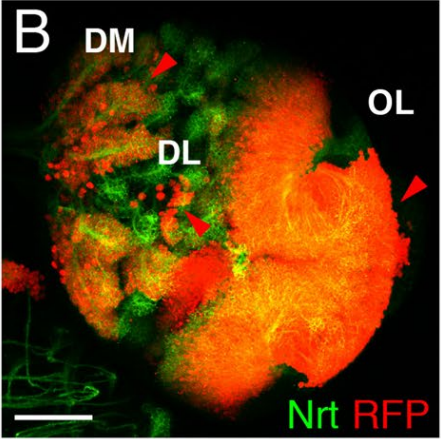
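On the side toward the midline, many rounded clusters of small cells are packed together; several clusters contain dense red round nuclei, while green fibre bundles run between and through the clusters as tracts. On the outer side a large, domed region is filled with dense red nuclei and a meshwork of yellowish-green fibres, forming the biggest mass in the image. Scattered red nuclei also lie in small groups between the clusters. The overall shape is round, with the dense outer region occupying about half the hemisphere.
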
